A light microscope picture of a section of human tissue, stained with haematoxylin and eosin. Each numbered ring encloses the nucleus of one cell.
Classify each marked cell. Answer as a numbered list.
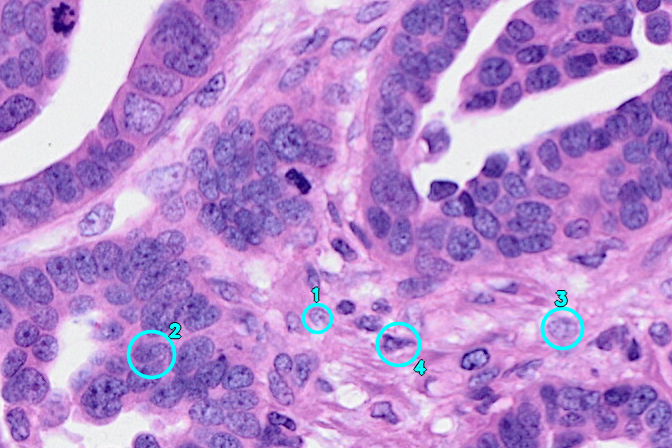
1. fibroblast
2. carcinoma cell
3. fibroblast
4. fibroblast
